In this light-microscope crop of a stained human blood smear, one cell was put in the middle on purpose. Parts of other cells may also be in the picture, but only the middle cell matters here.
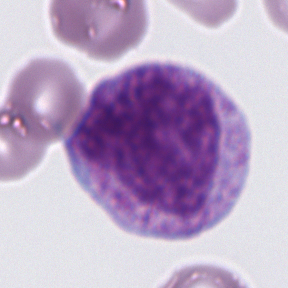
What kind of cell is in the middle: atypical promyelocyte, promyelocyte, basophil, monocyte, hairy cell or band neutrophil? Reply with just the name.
atypical promyelocyte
